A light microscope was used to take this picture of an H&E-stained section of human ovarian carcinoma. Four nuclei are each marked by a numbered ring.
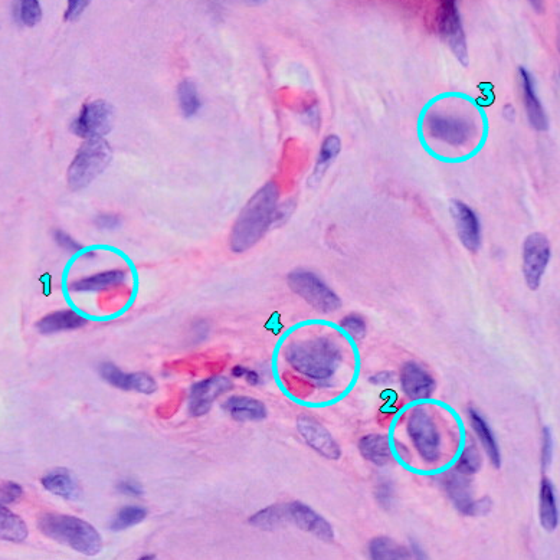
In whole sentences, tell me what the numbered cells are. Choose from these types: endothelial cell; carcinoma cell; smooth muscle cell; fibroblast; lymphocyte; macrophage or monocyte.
Cell 1 is an endothelial cell, cell 2 is an endothelial cell, cell 3 is a fibroblast and cell 4 is an endothelial cell.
